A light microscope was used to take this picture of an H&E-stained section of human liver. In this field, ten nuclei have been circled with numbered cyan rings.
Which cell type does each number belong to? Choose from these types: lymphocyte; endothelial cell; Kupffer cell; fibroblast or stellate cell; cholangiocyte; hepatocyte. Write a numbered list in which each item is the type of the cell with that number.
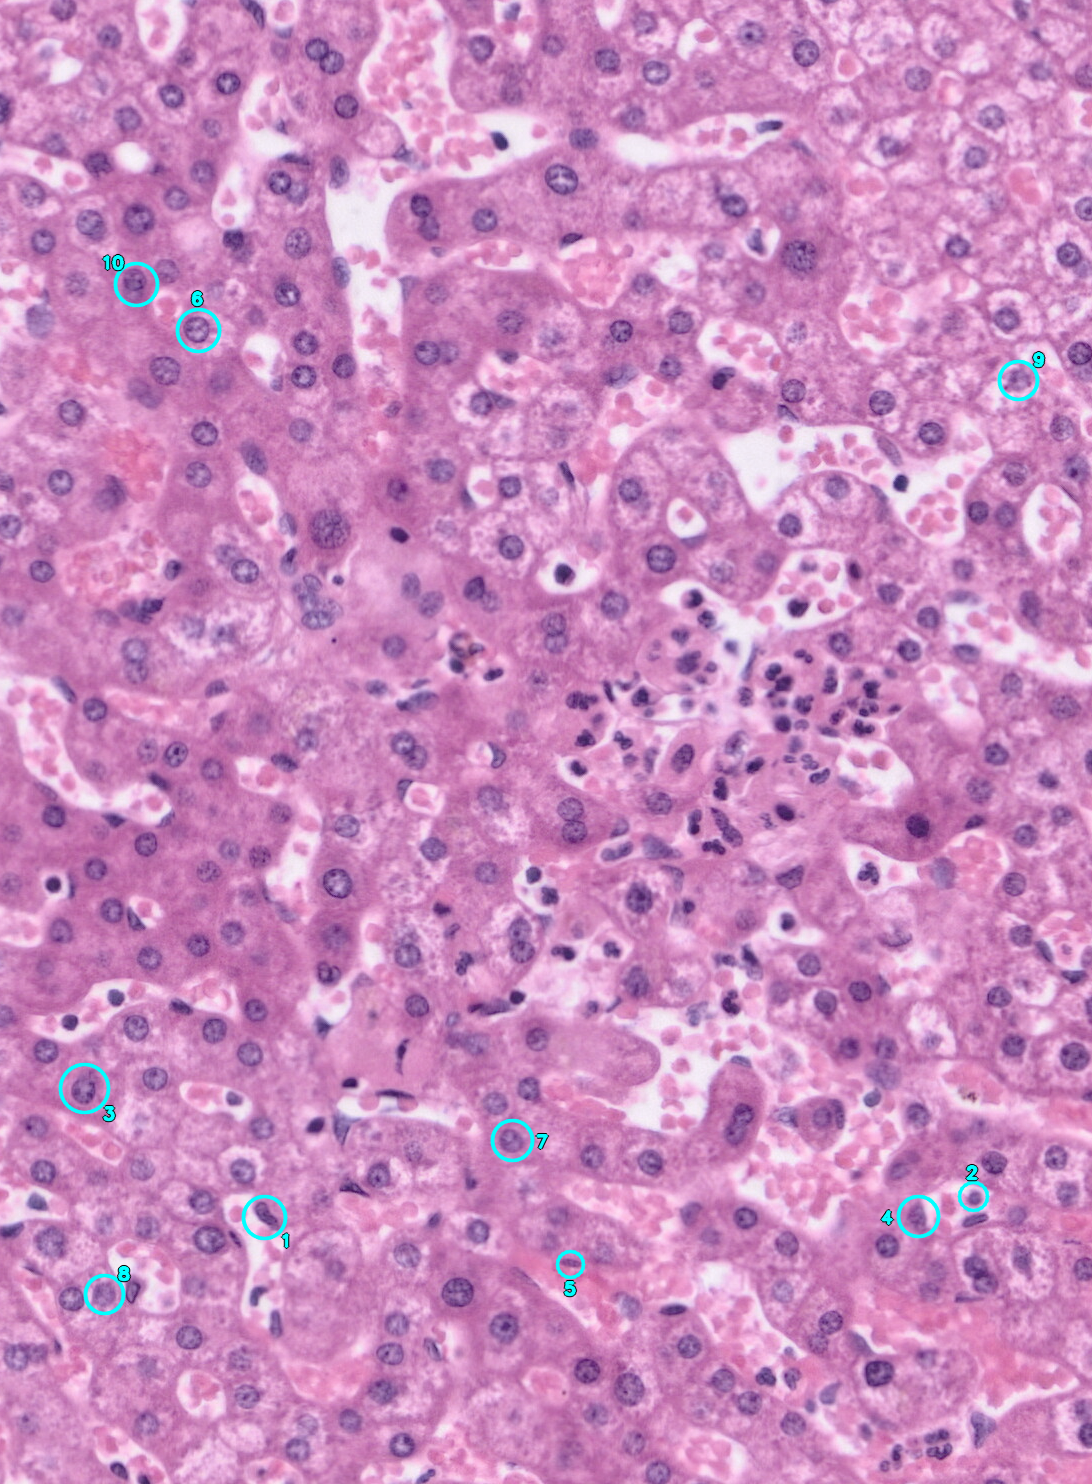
1. Kupffer cell
2. lymphocyte
3. hepatocyte
4. endothelial cell
5. fibroblast or stellate cell
6. hepatocyte
7. hepatocyte
8. hepatocyte
9. hepatocyte
10. hepatocyte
